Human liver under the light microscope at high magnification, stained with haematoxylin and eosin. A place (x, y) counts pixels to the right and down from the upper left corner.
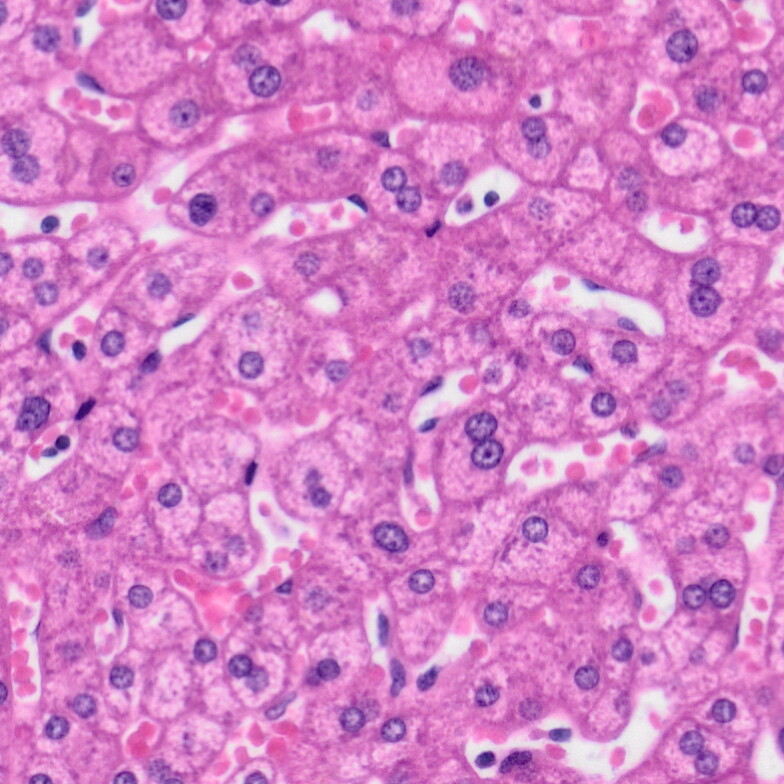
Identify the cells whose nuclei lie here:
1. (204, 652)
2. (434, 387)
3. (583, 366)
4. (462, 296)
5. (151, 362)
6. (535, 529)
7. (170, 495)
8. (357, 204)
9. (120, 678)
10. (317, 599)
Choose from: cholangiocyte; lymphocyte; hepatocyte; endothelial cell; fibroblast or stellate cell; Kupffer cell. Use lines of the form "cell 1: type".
cell 1: hepatocyte
cell 2: endothelial cell
cell 3: endothelial cell
cell 4: hepatocyte
cell 5: fibroblast or stellate cell
cell 6: hepatocyte
cell 7: hepatocyte
cell 8: endothelial cell
cell 9: hepatocyte
cell 10: hepatocyte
